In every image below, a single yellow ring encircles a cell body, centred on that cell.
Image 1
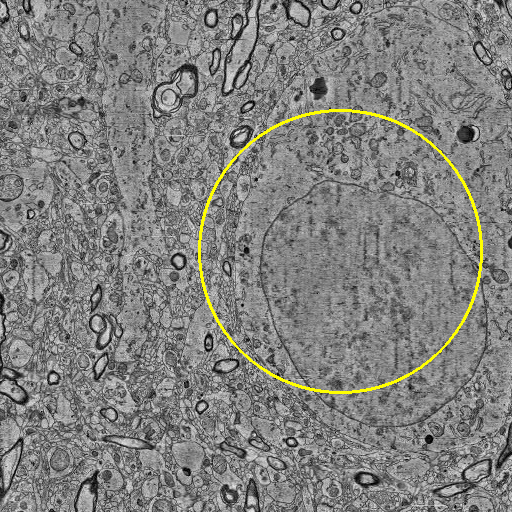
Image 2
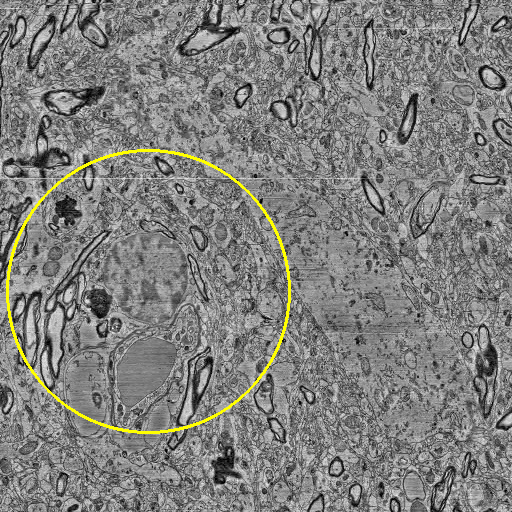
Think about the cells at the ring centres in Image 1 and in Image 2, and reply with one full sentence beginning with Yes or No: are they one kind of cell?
No, the cells centred in the rings of Image 1 and Image 2 are two kinds of cell.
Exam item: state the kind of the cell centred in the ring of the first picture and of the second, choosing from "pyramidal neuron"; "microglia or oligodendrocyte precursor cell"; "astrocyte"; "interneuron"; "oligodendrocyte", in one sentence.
The first picture shows a pyramidal neuron at the ring centre and the second shows an oligodendrocyte.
